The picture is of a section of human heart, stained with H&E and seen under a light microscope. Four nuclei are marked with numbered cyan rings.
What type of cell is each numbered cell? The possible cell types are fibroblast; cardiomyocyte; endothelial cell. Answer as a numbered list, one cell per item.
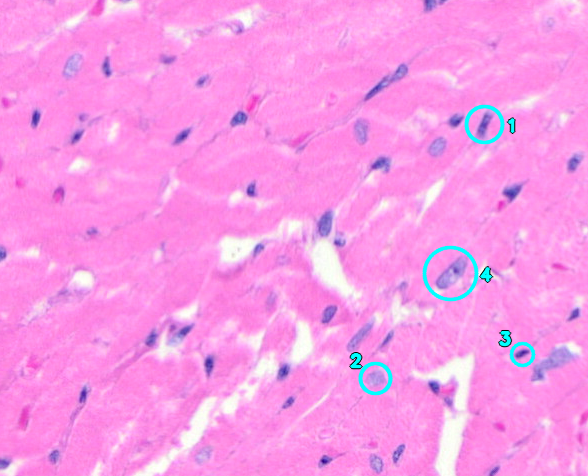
1. fibroblast
2. cardiomyocyte
3. endothelial cell
4. cardiomyocyte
